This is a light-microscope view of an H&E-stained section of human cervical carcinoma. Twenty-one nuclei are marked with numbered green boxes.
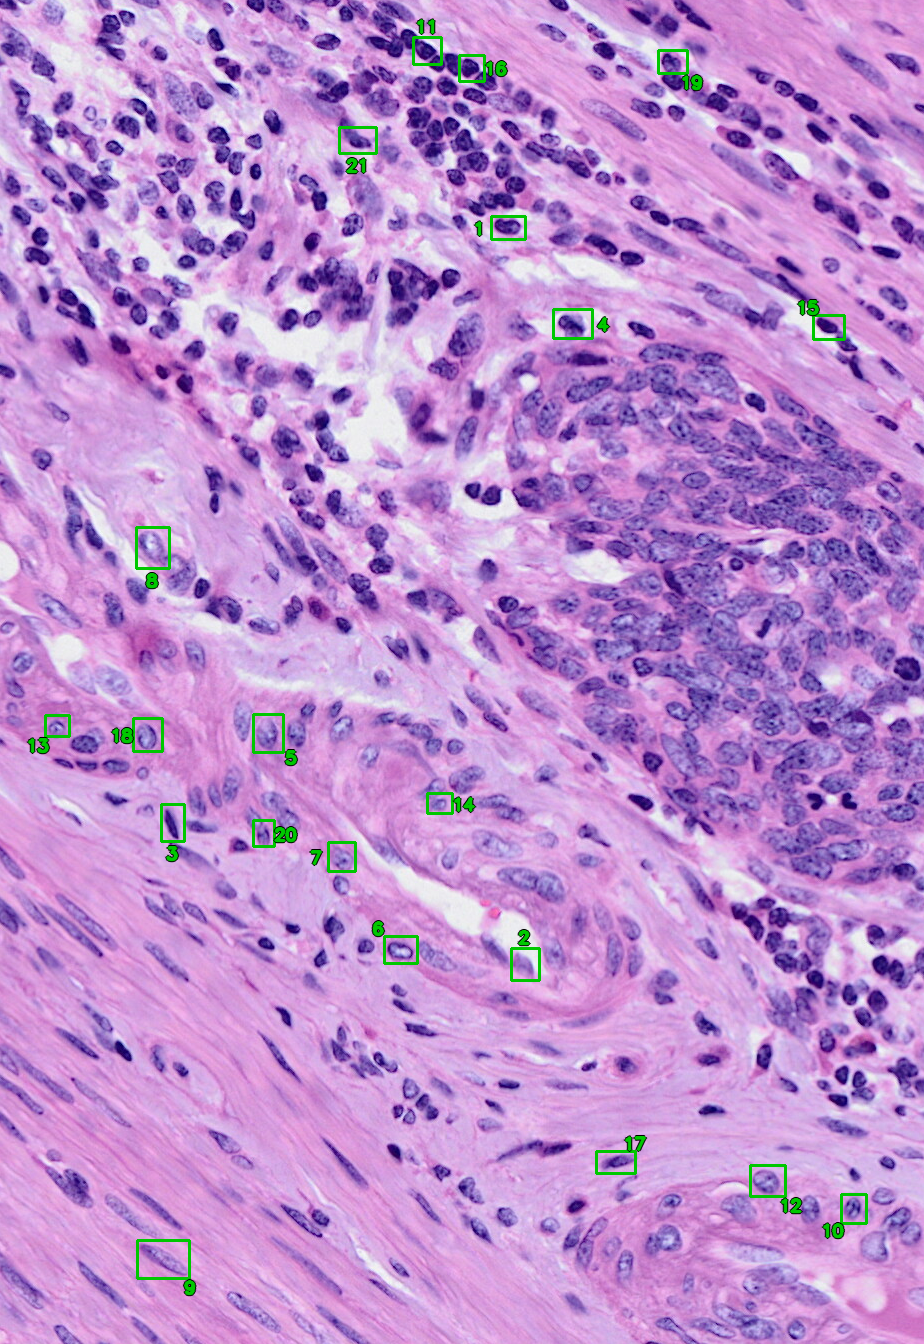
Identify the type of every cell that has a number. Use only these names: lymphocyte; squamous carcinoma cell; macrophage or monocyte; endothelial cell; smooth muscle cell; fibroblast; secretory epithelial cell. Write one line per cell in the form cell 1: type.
cell 1: lymphocyte
cell 2: endothelial cell
cell 3: fibroblast
cell 4: lymphocyte
cell 5: smooth muscle cell
cell 6: smooth muscle cell
cell 7: smooth muscle cell
cell 8: endothelial cell
cell 9: smooth muscle cell
cell 10: smooth muscle cell
cell 11: lymphocyte
cell 12: smooth muscle cell
cell 13: smooth muscle cell
cell 14: smooth muscle cell
cell 15: lymphocyte
cell 16: lymphocyte
cell 17: fibroblast
cell 18: smooth muscle cell
cell 19: lymphocyte
cell 20: smooth muscle cell
cell 21: lymphocyte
